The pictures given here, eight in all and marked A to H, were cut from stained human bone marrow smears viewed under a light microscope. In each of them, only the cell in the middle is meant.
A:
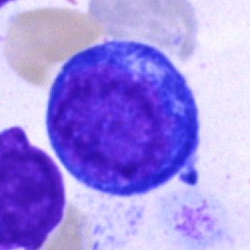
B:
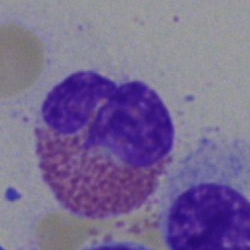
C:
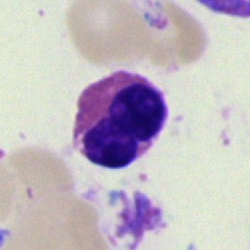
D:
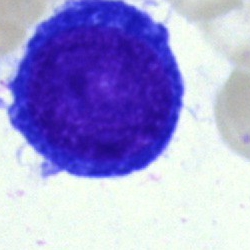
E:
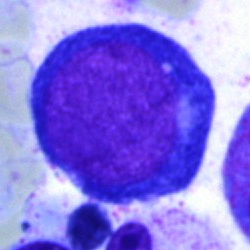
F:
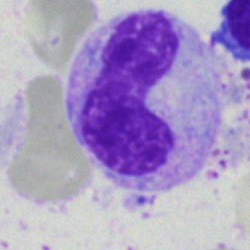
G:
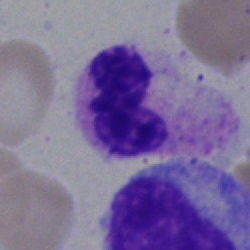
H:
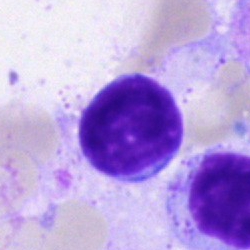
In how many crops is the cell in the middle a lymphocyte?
1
